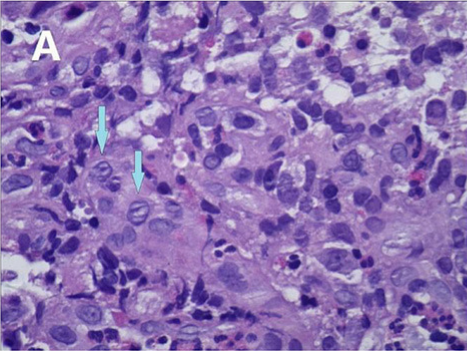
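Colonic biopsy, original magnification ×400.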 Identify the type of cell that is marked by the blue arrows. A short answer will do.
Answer: Langerhans cells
